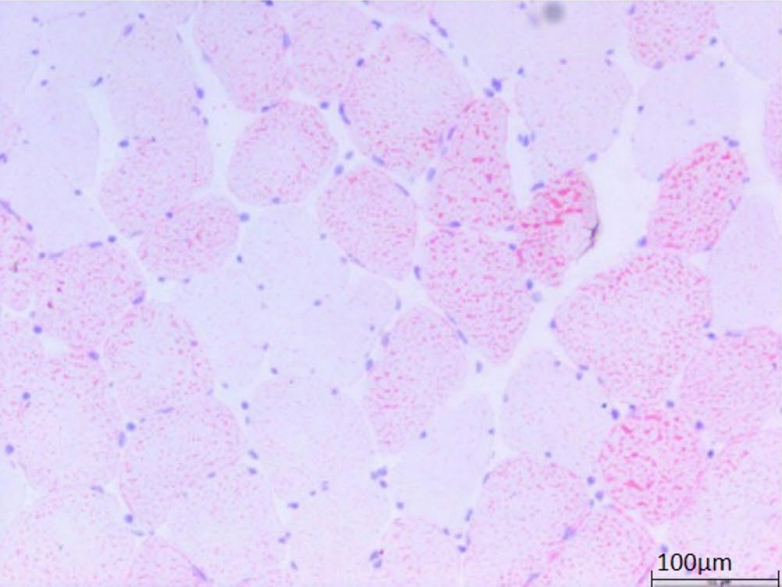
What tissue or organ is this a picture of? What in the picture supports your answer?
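Muscle fibers. Large polygonal profiles are packed closely in cross-section. Small flattened nuclei lie at the edges of the profiles. Narrow spaces separate neighbouring profiles.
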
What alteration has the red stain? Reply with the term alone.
Lipid droplet accumulation.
